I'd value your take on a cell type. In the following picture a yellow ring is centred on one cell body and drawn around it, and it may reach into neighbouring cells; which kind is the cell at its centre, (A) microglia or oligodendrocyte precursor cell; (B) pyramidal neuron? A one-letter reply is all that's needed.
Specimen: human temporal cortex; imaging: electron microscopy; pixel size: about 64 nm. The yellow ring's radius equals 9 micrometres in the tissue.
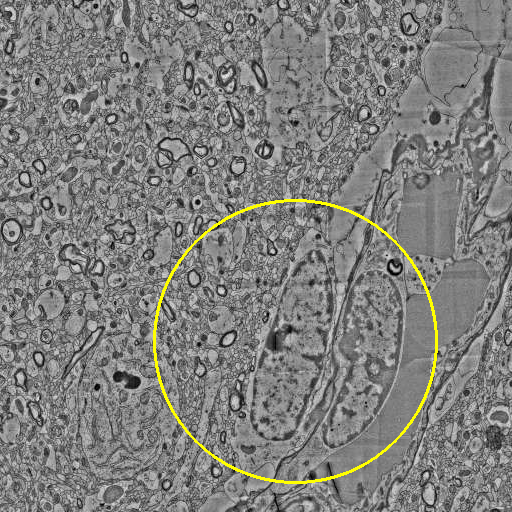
A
